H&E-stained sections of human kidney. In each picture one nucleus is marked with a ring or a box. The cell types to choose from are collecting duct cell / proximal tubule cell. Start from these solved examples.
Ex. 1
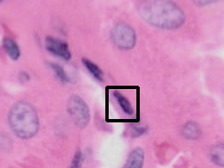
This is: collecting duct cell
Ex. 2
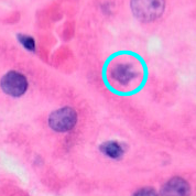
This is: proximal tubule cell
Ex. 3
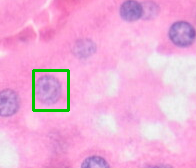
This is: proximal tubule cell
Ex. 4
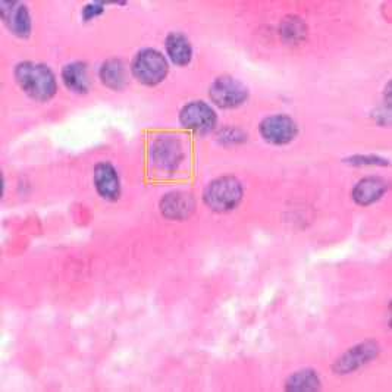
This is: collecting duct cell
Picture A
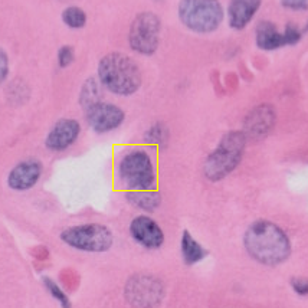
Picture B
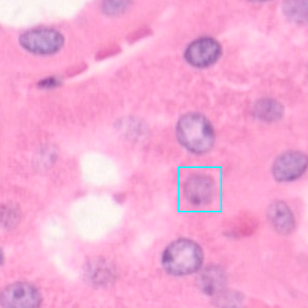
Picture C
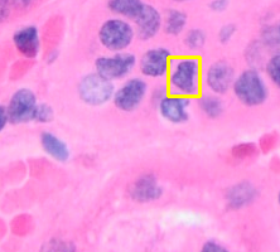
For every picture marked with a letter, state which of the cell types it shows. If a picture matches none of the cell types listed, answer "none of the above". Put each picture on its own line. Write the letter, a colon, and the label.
A: collecting duct cell
B: proximal tubule cell
C: collecting duct cell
